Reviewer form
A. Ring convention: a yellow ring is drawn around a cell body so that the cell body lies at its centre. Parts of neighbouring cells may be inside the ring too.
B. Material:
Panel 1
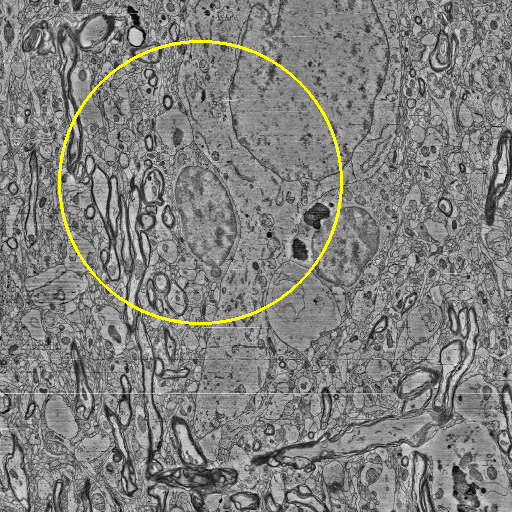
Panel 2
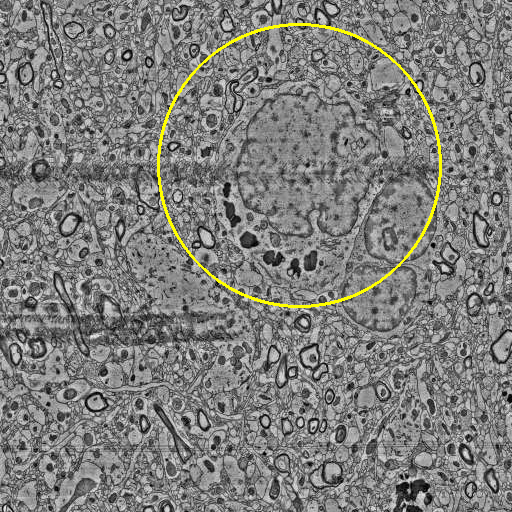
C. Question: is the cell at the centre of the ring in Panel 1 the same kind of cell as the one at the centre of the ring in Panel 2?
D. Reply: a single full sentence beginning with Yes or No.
No, the cells in Panel 1 and Panel 2 are two kinds of cell.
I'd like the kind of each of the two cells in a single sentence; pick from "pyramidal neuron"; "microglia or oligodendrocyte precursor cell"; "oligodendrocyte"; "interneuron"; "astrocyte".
The first ring marks an oligodendrocyte, and the second ring marks an interneuron.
